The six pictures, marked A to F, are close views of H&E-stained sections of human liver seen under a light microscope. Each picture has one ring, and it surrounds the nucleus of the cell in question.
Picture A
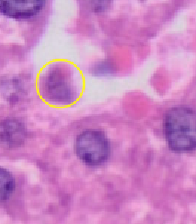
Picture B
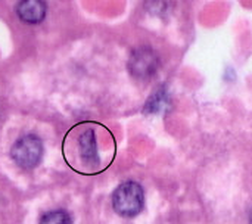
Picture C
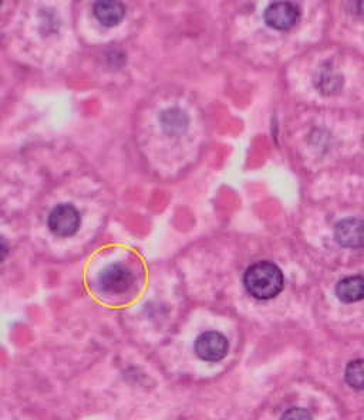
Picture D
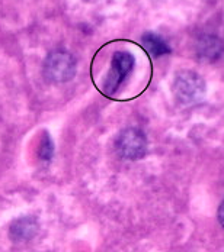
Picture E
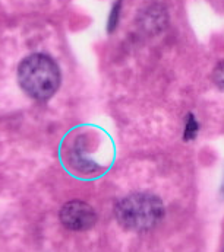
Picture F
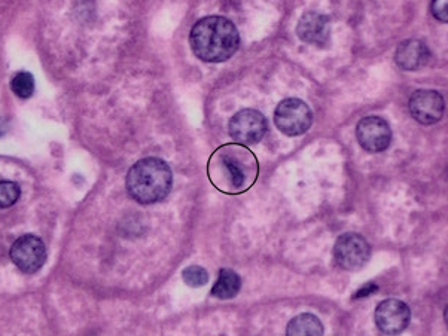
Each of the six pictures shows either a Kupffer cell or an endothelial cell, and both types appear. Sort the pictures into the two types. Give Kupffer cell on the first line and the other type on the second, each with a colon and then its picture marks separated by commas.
Kupffer cell: A, D
endothelial cell: B, C, E, F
